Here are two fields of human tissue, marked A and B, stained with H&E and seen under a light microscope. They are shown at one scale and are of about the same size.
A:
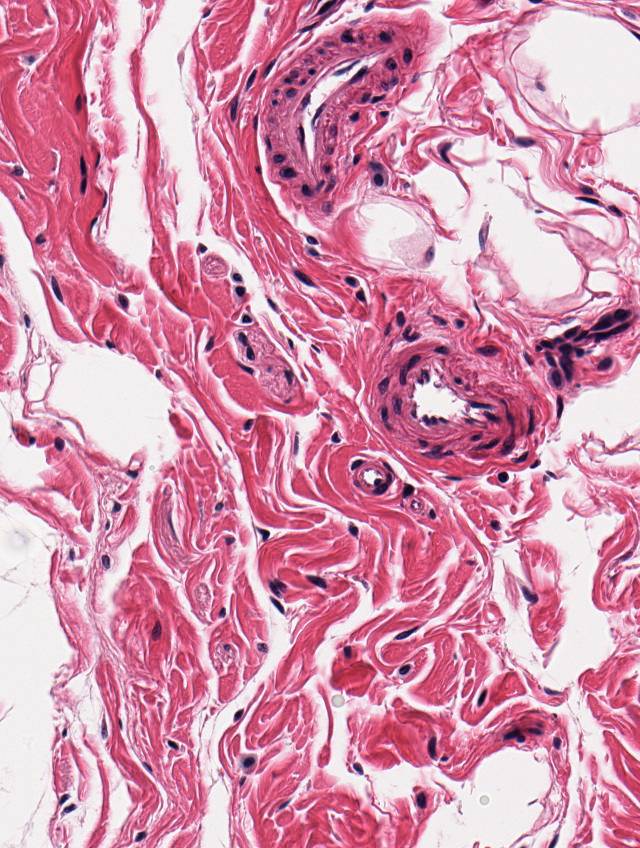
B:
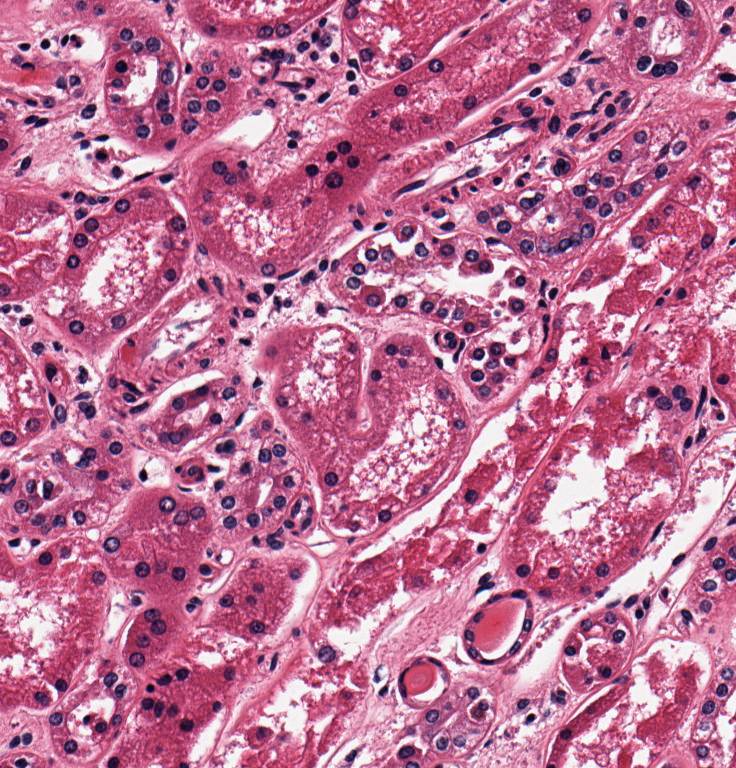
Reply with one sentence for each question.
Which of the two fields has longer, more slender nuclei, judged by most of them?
On the whole the nuclei of field A are more drawn out than those of field B.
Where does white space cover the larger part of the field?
Field A has more white space.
